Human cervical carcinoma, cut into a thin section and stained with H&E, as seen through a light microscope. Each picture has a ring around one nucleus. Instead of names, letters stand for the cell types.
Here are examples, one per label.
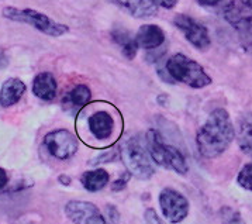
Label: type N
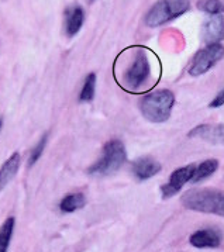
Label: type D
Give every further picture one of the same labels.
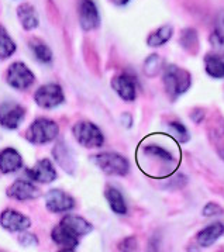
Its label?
type N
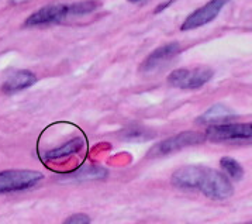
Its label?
type D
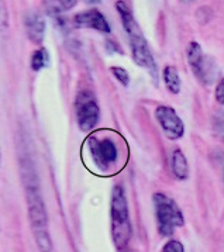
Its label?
type N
